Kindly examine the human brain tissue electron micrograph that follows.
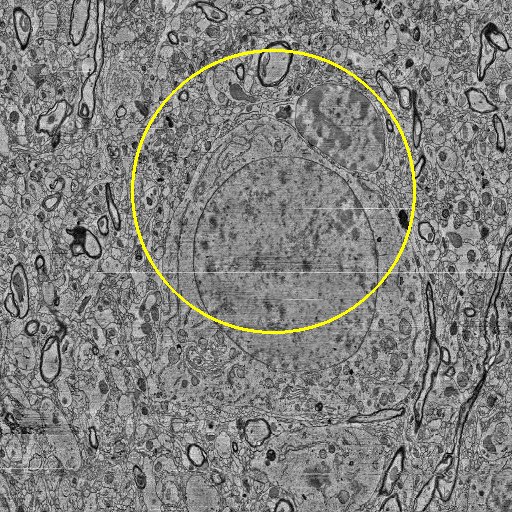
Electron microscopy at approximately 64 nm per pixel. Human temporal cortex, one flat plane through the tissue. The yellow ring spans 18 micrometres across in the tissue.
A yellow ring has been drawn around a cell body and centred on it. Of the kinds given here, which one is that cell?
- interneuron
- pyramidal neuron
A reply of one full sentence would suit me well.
The micrograph's ringed cell, the one at the ring's centre, is a pyramidal neuron.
